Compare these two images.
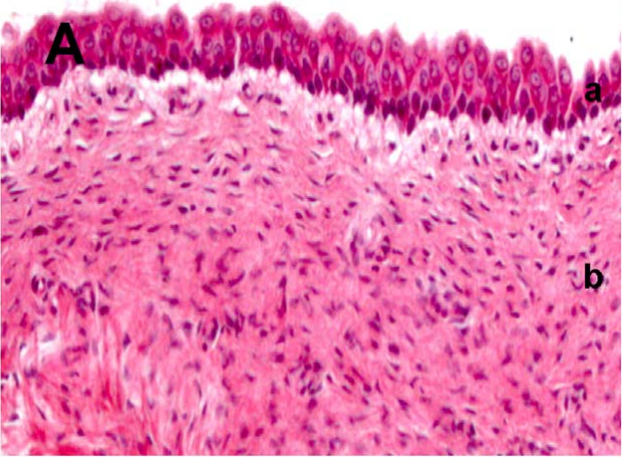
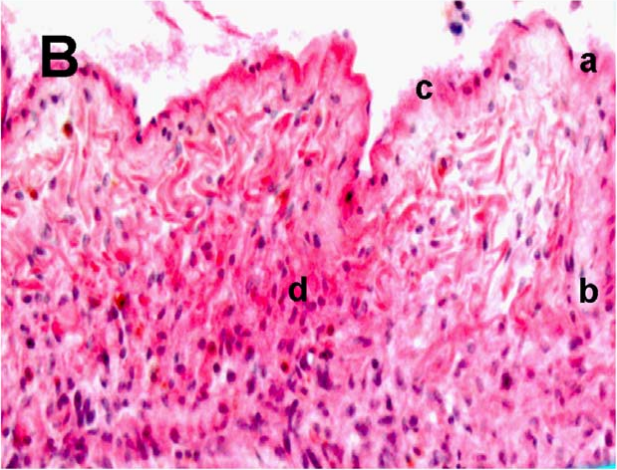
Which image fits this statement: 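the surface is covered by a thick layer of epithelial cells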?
The first image.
